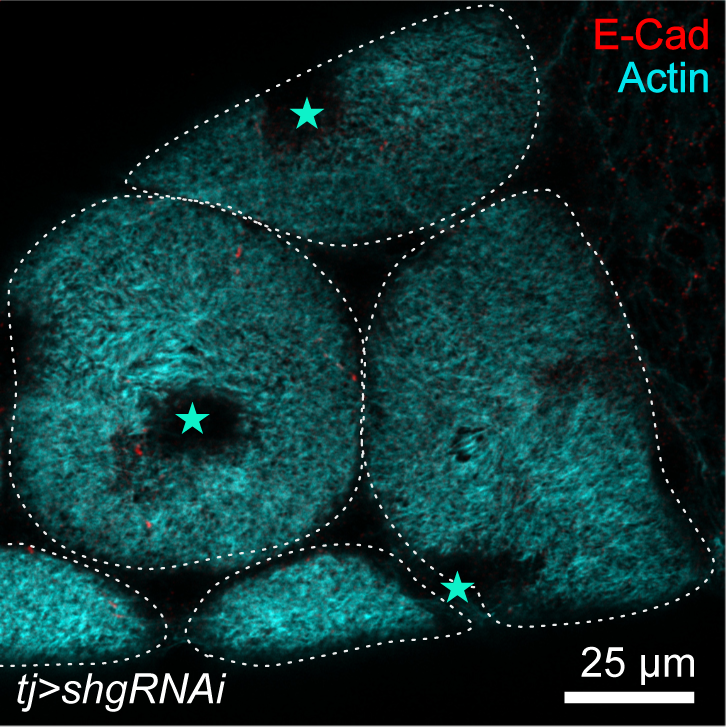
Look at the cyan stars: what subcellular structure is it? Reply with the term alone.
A: Nuclei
